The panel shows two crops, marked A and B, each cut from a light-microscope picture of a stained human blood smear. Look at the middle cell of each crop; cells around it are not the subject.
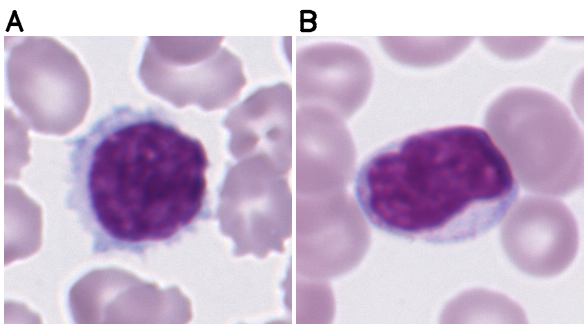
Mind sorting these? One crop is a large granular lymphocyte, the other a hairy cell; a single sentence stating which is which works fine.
Crop A depicts a hairy cell, and a large granular lymphocyte is depicted in crop B.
